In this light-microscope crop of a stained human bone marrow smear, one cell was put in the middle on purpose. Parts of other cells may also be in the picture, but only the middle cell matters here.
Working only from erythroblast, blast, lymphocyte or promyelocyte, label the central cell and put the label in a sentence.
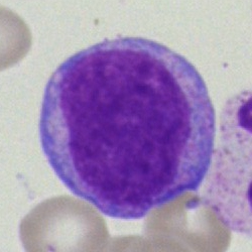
In the middle of this smear crop is a blast.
